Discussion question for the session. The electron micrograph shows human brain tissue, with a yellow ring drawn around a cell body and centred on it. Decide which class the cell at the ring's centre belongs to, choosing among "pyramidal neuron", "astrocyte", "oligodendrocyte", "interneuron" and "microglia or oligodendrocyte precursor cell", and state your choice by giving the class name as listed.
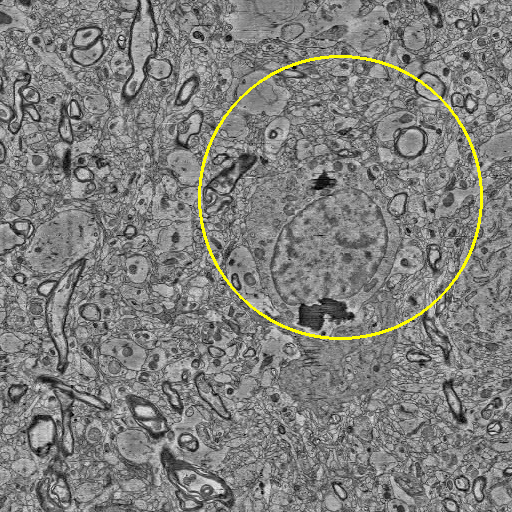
oligodendrocyte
